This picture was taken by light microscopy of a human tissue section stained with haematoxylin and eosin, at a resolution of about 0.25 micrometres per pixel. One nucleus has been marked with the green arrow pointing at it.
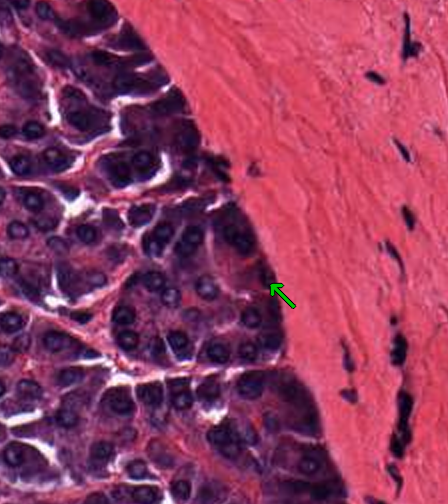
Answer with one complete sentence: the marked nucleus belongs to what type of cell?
A nucleus belonging to a pancreatic acinar cell is the one marked.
